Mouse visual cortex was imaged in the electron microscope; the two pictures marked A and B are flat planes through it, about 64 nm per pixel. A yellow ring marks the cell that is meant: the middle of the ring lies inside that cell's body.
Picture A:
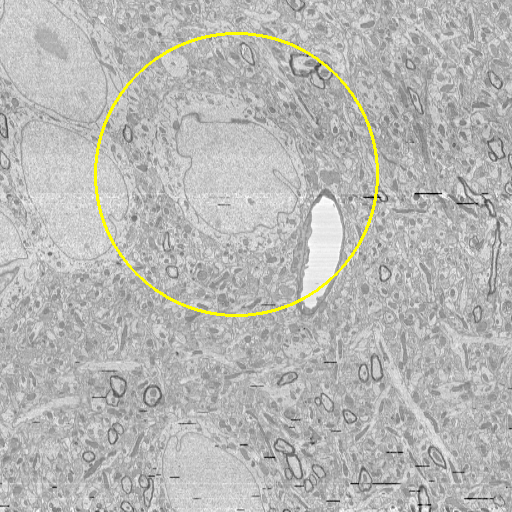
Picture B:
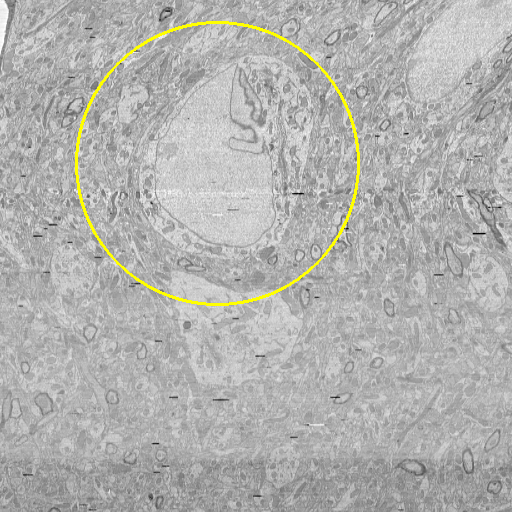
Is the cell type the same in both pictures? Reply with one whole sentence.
No, picture A shows an excitatory neuron and picture B shows an inhibitory neuron.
